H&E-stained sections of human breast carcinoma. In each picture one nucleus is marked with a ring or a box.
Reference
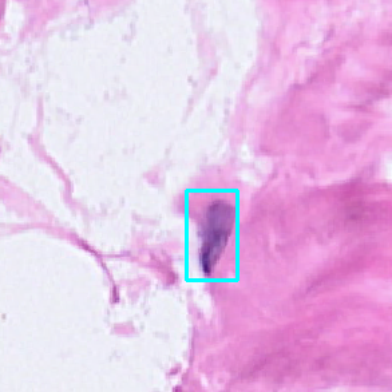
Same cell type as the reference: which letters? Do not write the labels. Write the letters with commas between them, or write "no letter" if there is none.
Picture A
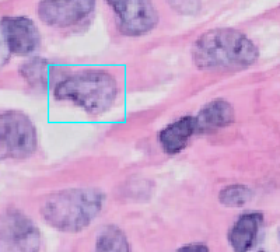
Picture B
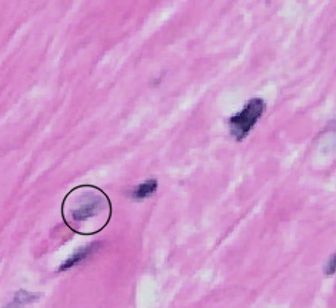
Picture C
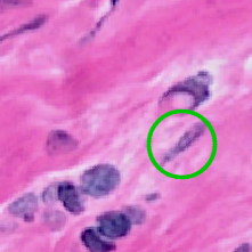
C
